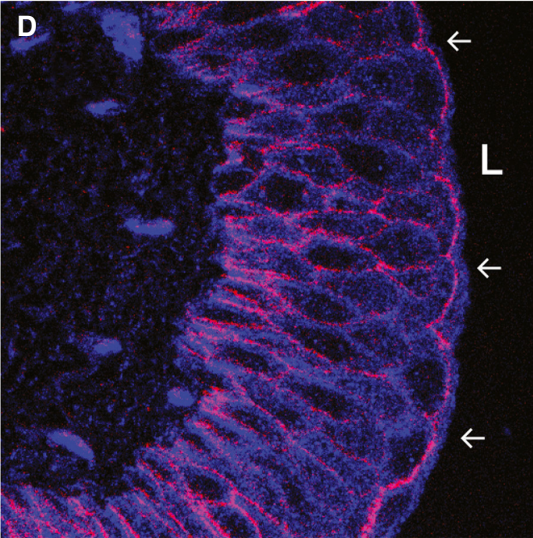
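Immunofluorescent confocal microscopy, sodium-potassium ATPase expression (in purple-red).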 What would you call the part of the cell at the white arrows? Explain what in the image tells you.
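The arrows point to the outermost membrane facing the lumen. That points to this answer: umbrella cell apical membrane.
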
